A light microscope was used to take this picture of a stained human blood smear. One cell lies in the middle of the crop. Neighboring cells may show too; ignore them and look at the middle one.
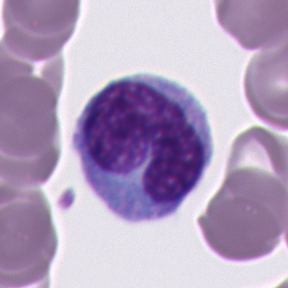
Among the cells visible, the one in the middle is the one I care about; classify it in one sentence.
The cell under consideration, at the middle of the crop, is a monocyte.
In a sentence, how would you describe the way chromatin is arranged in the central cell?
The chromatin within its nucleus forms coarse clumps.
